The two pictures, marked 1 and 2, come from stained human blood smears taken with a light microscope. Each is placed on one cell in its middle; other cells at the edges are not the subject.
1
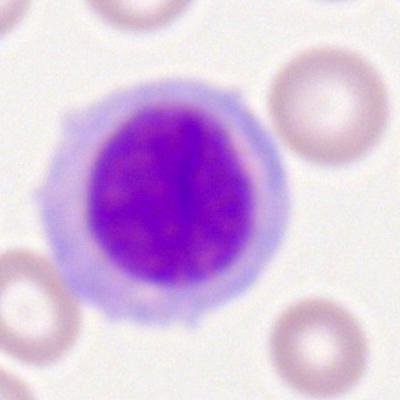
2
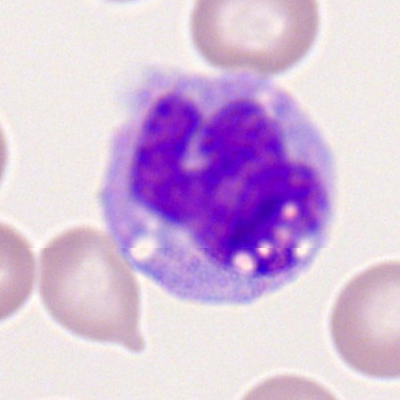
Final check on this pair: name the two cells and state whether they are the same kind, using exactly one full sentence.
Yes, both of the crops in this pair show monocytes, one cell in each crop.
